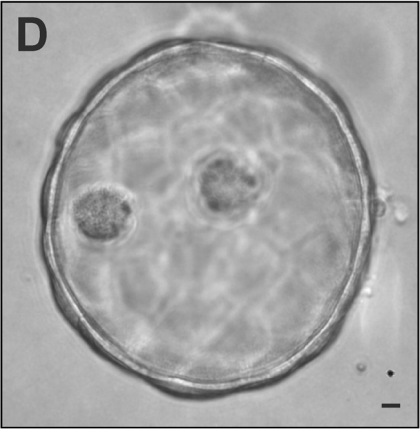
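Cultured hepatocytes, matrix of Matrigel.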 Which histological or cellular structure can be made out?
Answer: Large cyst-like colonies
